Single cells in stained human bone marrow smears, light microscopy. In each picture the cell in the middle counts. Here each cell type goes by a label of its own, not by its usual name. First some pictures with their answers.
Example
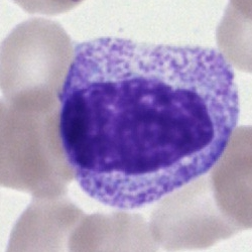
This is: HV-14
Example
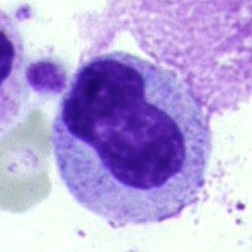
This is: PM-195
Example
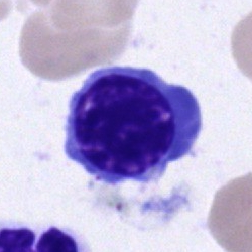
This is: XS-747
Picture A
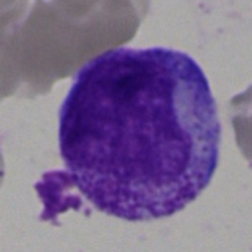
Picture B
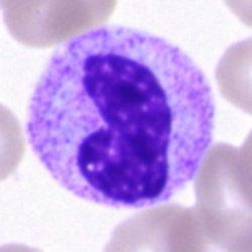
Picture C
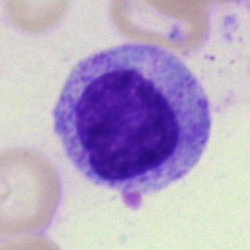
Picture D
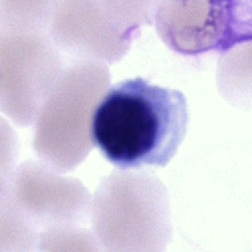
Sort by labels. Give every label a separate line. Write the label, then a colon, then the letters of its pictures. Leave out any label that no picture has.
HV-14: A, C
PM-195: B
XS-747: D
